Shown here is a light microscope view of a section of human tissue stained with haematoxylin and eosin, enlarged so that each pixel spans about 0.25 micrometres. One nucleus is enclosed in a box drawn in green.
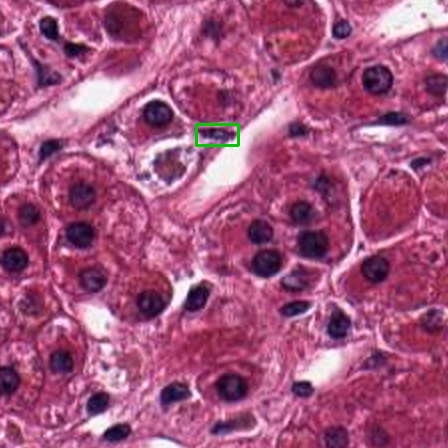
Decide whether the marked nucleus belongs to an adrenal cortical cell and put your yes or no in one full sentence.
No, the marked nucleus is attributed to a supporting cell, not to an adrenal cortical cell.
